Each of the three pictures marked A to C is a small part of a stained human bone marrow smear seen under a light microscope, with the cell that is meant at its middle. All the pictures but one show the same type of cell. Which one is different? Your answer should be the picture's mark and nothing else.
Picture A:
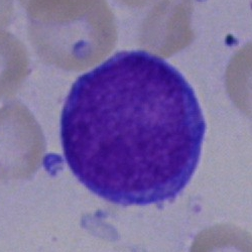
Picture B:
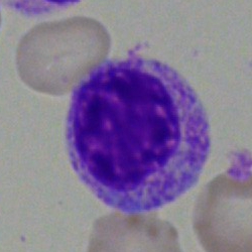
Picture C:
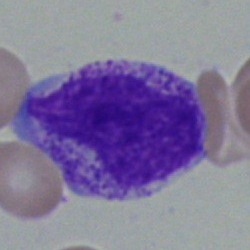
A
